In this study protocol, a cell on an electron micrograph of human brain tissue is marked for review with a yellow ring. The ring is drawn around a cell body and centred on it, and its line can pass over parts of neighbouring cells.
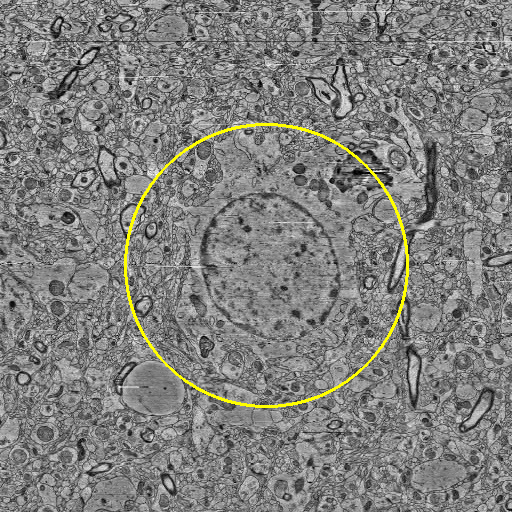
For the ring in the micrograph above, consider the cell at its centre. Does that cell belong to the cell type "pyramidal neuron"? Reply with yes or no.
no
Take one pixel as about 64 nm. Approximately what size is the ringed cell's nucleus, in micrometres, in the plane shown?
In this plane the nucleus measures roughly 10 by 9 micrometres.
